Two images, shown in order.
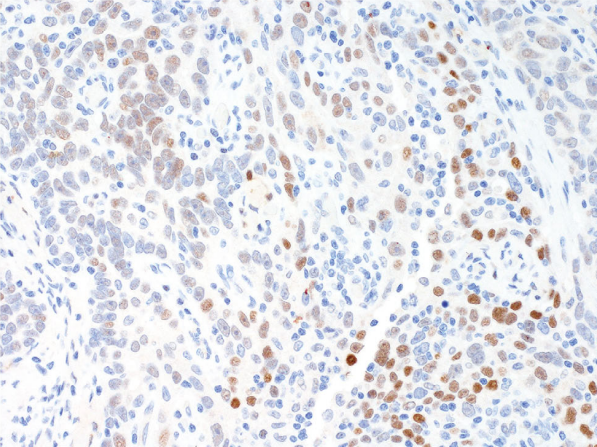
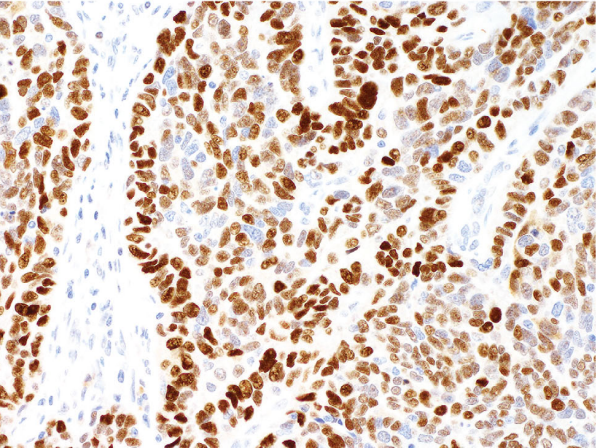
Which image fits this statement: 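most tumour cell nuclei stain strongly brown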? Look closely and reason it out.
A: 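Second image: the great majority of tumour nuclei are brown, many of them intensely dark brown. First image: many tumour nuclei are blue or only pale brown, with scattered darker brown nuclei. So: the second image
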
